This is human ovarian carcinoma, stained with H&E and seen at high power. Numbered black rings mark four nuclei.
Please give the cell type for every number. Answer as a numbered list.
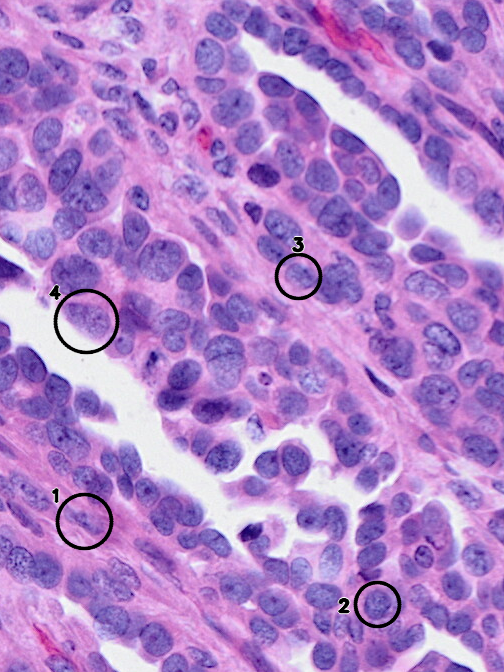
1. fibroblast
2. carcinoma cell
3. carcinoma cell
4. carcinoma cell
